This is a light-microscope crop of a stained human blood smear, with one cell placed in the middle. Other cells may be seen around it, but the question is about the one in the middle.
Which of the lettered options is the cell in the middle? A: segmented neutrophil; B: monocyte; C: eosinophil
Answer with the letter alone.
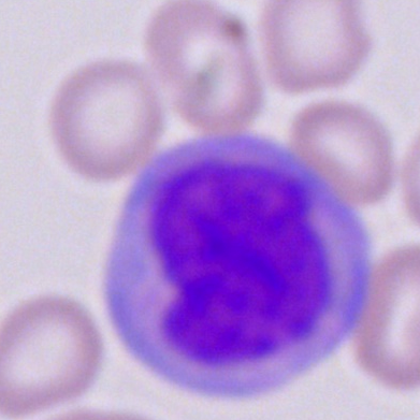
B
